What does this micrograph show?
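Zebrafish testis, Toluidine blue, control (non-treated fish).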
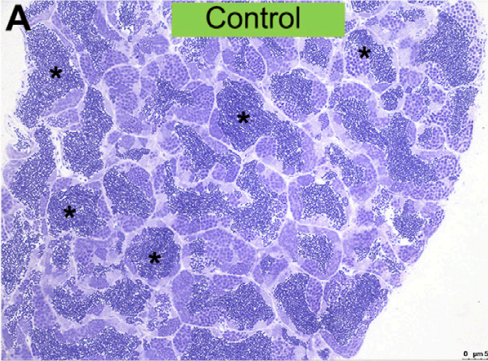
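Cysts differ in the size and density of their cells: some hold larger, paler cells, others many small, darkly stained nuclei packed closely together. Between the cysts lie open lumina filled with dense masses of tiny dark dots, the spermatozoa, which form conspicuous dark patches across the section. Thin pale strands of interstitial tissue separate the compartments, giving the tissue a lobular, mosaic-like arrangement.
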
